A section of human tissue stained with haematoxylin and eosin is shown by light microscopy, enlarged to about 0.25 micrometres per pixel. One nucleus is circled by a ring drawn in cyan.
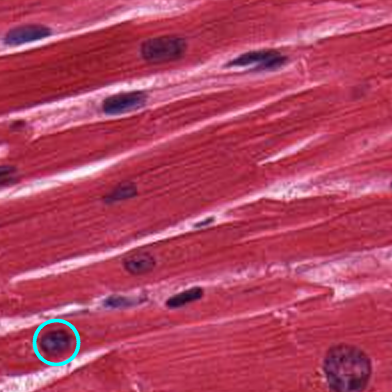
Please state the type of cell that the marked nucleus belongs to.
cardiomyocyte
